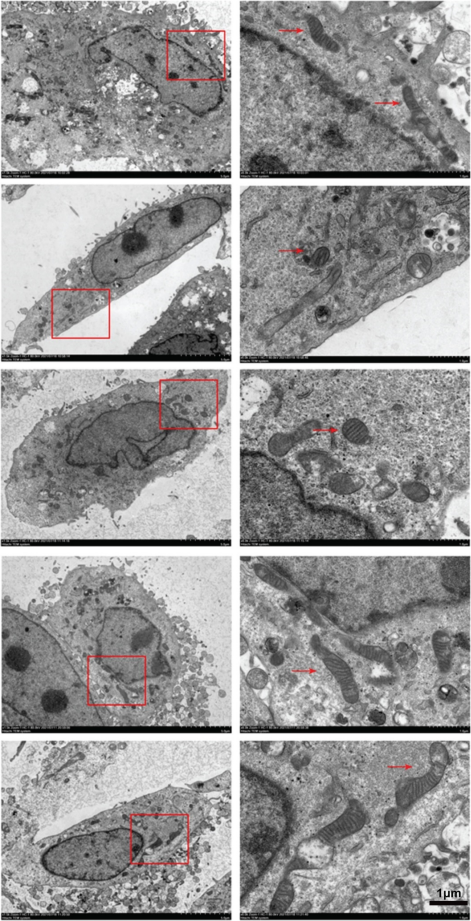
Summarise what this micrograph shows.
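Transmission electron micrographs of cultured cells, with whole-cell views on the left and an enlargement of a red-boxed region beside each on the right. The enlargements show elongated and oval mitochondria with internal cristae, marked by red arrows, lying in the cytoplasm near the nuclear envelope.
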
